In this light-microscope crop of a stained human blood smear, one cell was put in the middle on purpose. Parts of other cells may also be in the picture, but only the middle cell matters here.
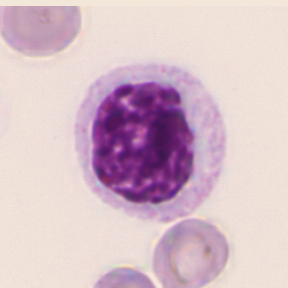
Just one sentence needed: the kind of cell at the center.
The cell shown in the center of this light-microscope crop is a metamyelocyte.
